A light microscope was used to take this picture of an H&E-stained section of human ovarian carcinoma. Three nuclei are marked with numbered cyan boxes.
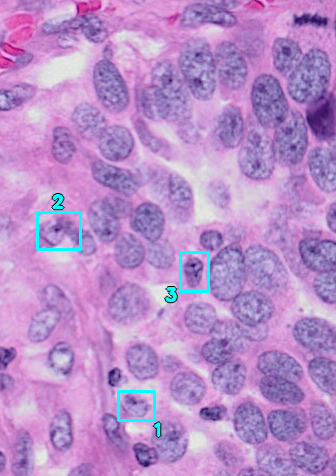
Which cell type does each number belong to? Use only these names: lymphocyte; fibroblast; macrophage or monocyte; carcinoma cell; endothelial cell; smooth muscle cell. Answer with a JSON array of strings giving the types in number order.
["macrophage or monocyte", "fibroblast", "macrophage or monocyte"]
